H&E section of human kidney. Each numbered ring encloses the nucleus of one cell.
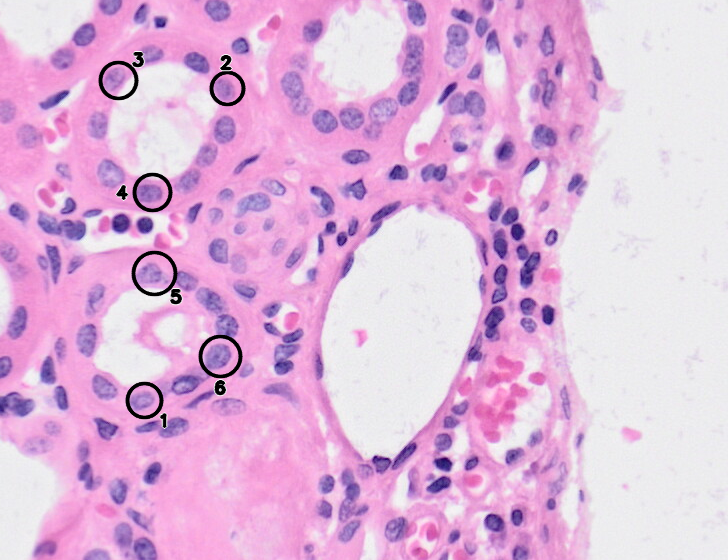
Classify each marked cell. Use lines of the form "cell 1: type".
cell 1: collecting duct cell
cell 2: loop of Henle or distal tubule cell
cell 3: loop of Henle or distal tubule cell
cell 4: loop of Henle or distal tubule cell
cell 5: collecting duct cell
cell 6: collecting duct cell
